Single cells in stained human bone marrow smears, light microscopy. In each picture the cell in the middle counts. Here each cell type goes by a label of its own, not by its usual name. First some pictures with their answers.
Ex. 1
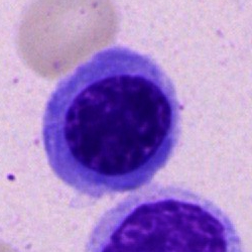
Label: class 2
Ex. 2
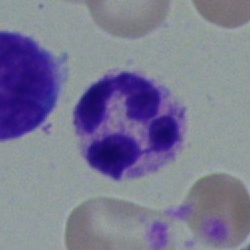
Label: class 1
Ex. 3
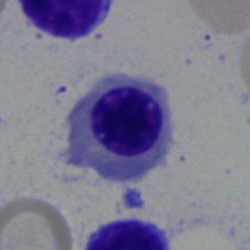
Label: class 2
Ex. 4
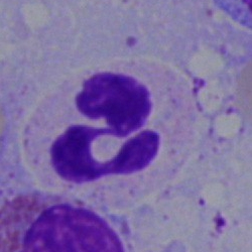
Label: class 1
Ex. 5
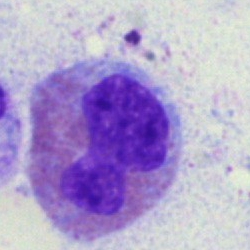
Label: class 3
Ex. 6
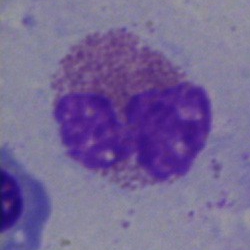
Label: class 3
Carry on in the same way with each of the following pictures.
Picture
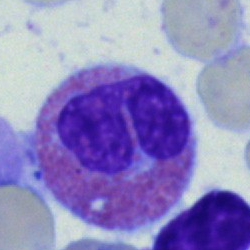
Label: class 3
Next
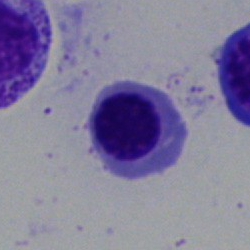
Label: class 2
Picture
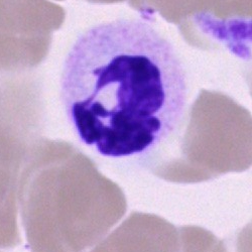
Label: class 1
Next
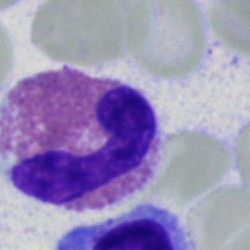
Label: class 3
